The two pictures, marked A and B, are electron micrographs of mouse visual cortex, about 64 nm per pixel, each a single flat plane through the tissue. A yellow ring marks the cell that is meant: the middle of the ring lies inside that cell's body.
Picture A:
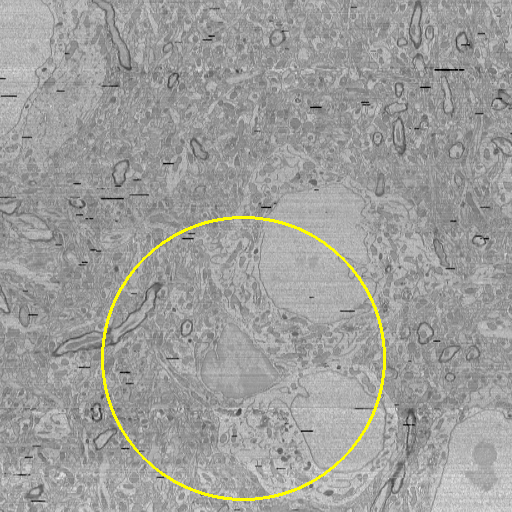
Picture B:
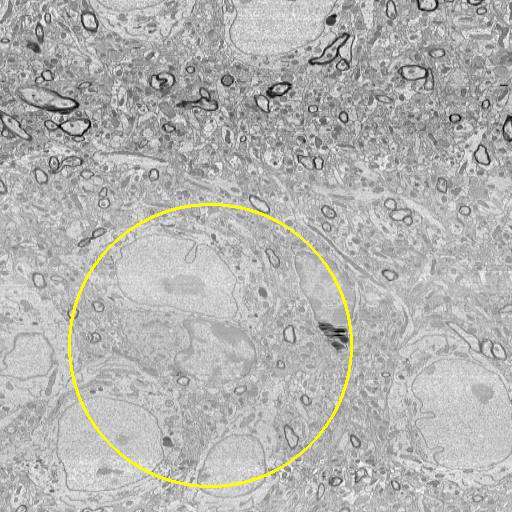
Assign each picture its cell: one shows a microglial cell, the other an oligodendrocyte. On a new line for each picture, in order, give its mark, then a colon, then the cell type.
A: microglial cell
B: oligodendrocyte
